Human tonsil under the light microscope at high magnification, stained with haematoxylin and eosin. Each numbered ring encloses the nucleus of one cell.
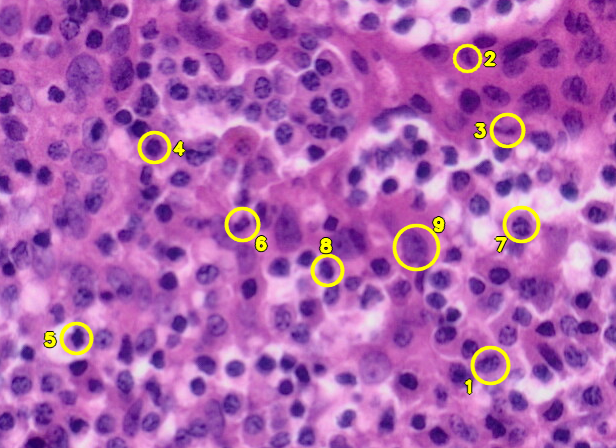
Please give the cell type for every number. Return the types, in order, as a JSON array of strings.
["plasma cell", "squamous epithelial cell", "squamous epithelial cell", "plasma cell", "plasma cell", "squamous epithelial cell", "plasma cell", "squamous epithelial cell", "squamous epithelial cell"]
